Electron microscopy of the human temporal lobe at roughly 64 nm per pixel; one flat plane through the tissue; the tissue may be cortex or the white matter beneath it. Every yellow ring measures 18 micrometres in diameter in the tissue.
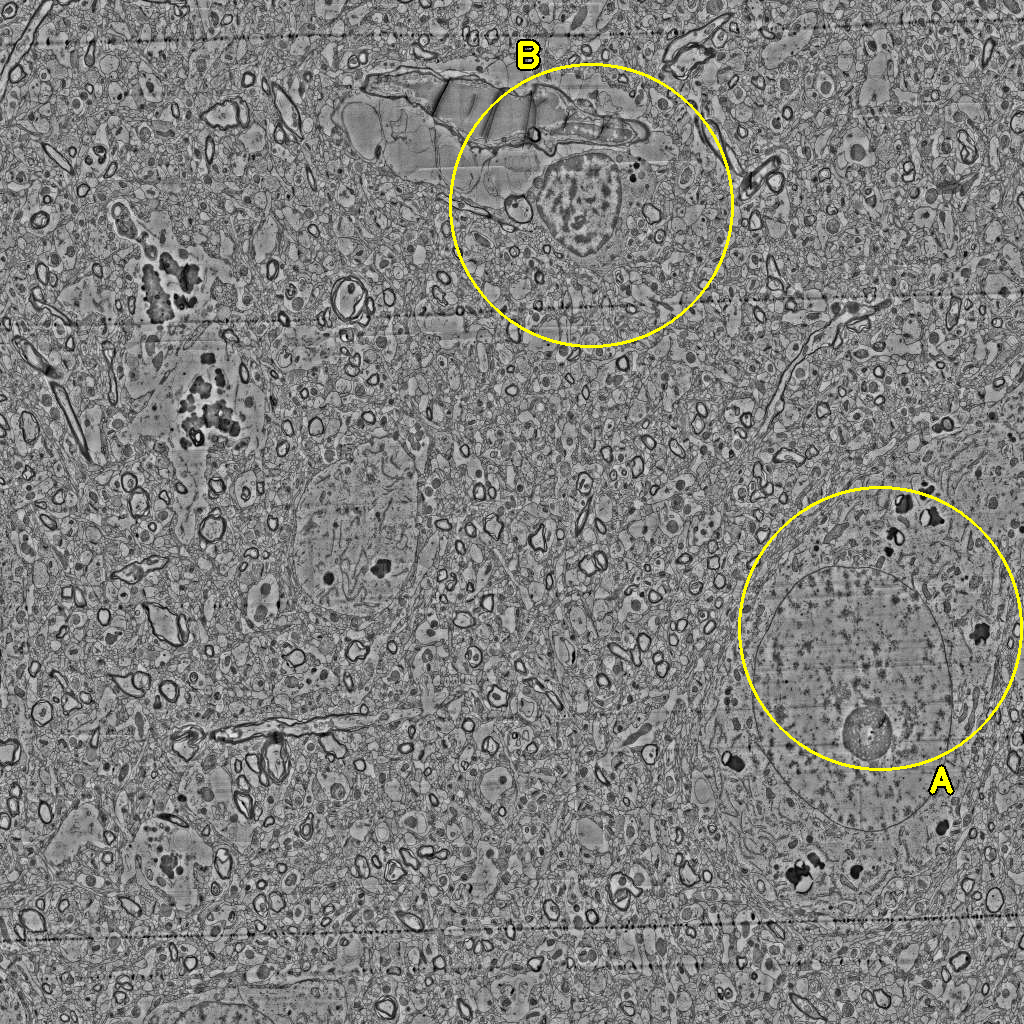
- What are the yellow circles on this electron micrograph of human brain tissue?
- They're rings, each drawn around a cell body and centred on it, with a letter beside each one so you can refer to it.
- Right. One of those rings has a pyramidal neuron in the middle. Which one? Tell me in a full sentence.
It's ring A.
